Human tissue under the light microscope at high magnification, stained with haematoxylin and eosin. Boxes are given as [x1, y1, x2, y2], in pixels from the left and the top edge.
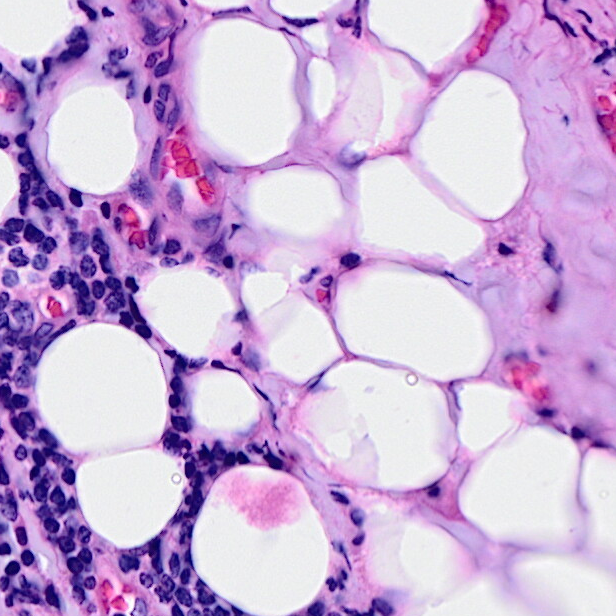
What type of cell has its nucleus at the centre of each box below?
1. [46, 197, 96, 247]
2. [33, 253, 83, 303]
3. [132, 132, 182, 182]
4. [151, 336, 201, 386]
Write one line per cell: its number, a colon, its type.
1: lymphocyte
2: lymphocyte
3: endothelial cell
4: lymphocyte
